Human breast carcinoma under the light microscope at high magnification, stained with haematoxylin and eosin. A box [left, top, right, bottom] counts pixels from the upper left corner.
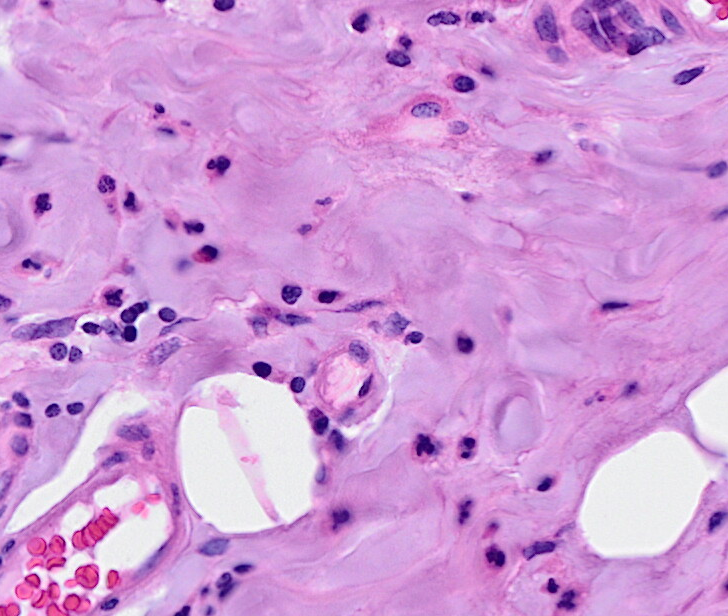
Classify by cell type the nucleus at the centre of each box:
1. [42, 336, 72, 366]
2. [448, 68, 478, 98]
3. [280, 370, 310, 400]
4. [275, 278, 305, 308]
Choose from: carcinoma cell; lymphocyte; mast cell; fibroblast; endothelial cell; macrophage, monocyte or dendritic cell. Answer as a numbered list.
1. lymphocyte
2. mast cell
3. lymphocyte
4. lymphocyte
